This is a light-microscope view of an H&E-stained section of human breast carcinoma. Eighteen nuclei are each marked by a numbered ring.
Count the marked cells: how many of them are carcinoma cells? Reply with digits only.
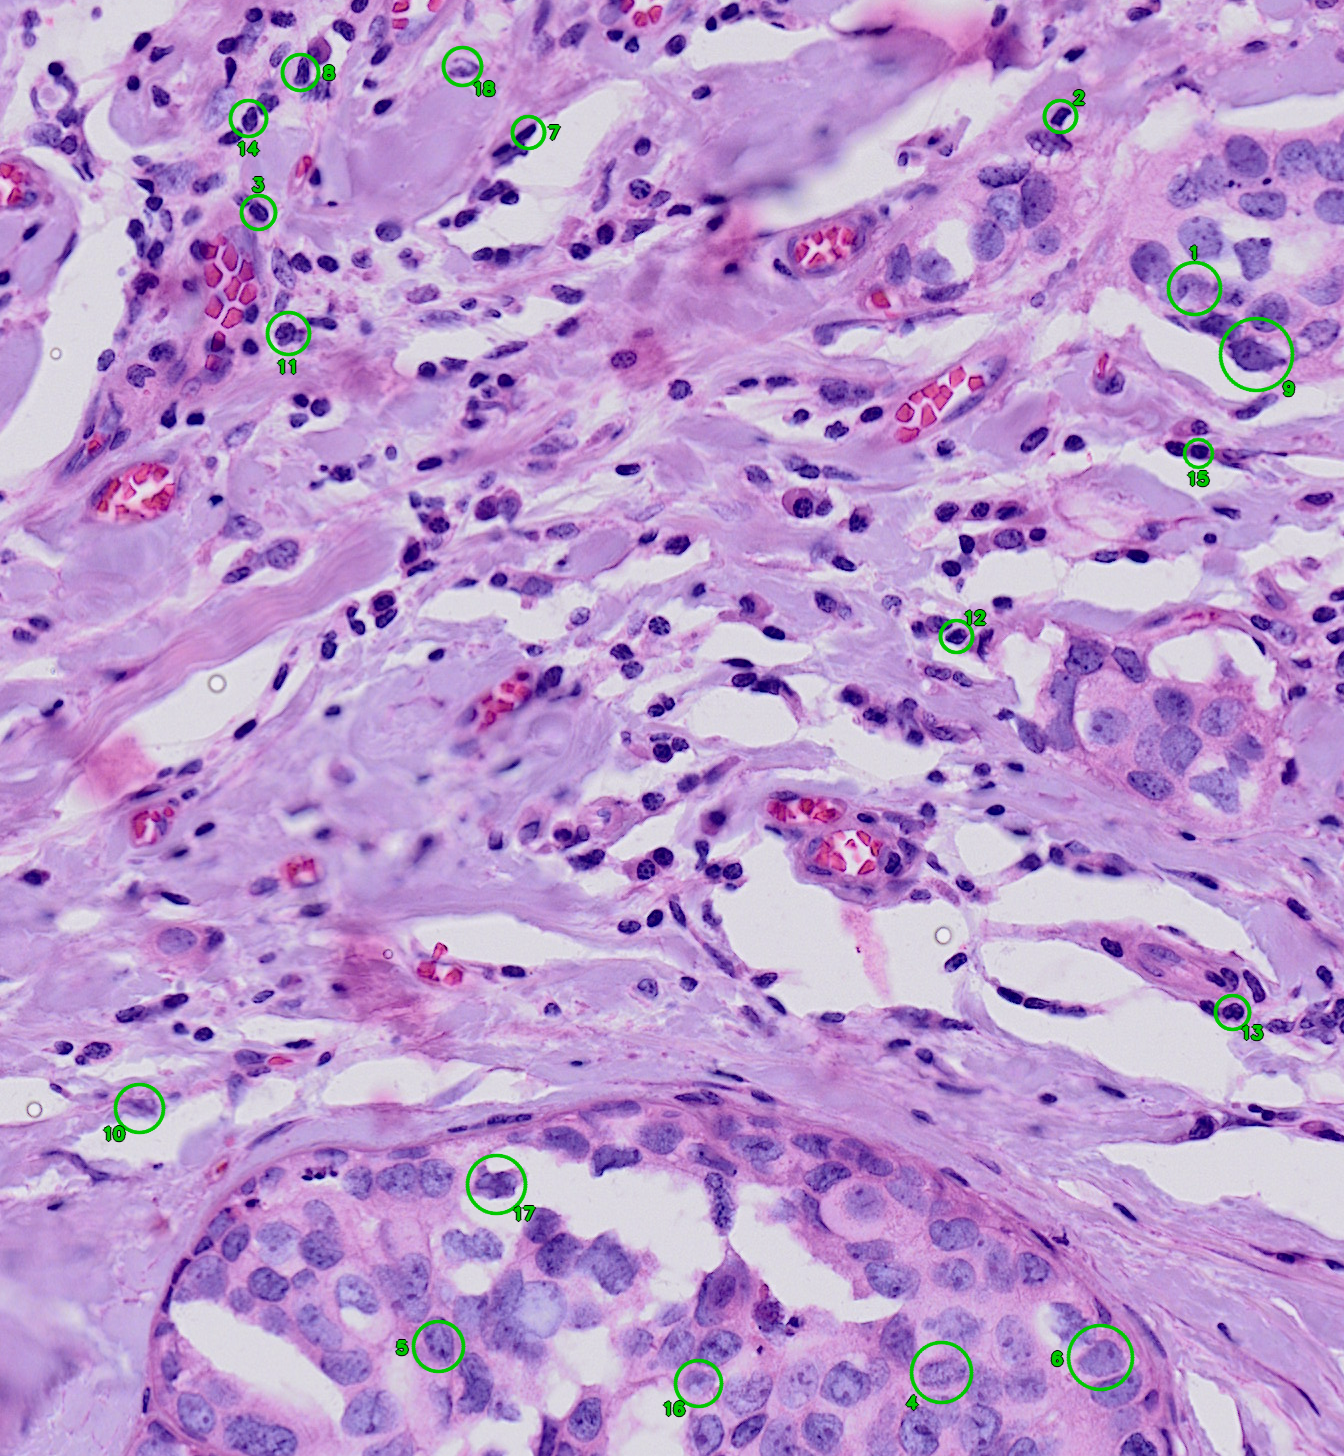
7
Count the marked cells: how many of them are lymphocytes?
9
